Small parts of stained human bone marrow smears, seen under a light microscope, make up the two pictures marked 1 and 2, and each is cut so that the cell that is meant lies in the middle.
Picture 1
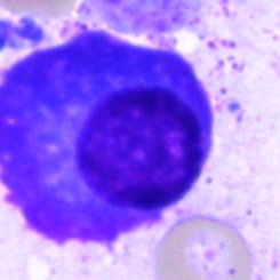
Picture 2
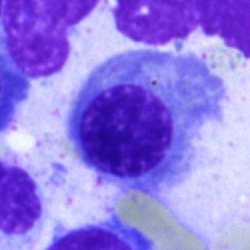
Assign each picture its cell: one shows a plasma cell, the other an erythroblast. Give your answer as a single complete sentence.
Picture 1 is of a plasma cell, and picture 2 is of an erythroblast.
